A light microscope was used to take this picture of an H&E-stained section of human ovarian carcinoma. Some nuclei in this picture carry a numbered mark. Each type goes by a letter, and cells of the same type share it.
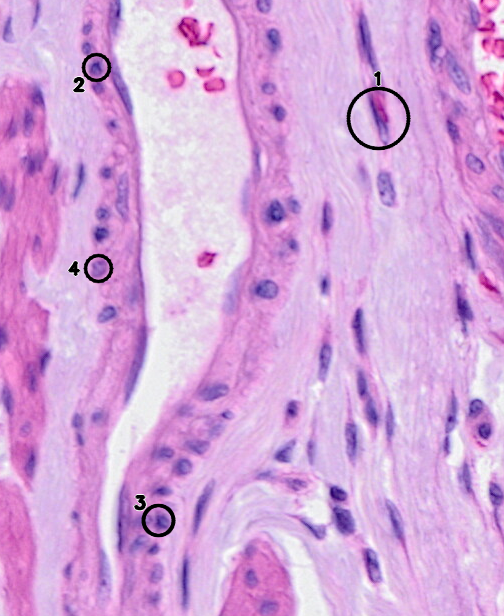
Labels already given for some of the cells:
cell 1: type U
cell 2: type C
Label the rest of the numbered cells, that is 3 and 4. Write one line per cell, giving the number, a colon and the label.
3: type C
4: type C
